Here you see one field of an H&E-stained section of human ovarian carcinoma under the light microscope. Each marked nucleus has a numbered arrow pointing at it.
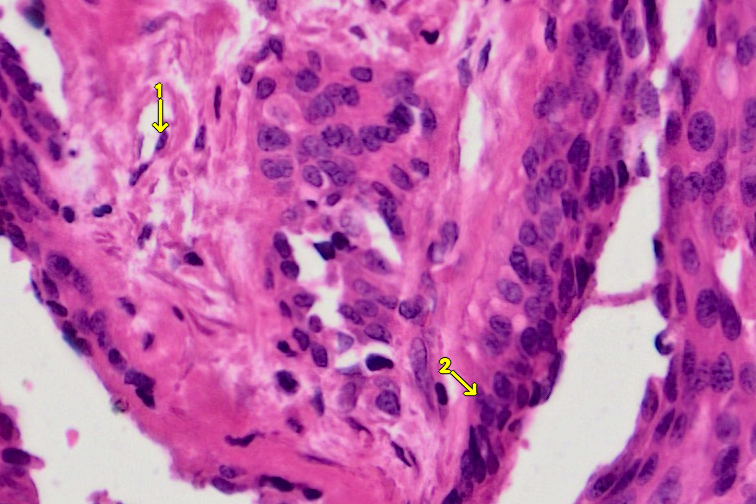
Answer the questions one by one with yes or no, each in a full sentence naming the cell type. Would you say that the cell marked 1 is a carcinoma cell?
No, number 1 does not mark a carcinoma cell; it marks a fibroblast.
